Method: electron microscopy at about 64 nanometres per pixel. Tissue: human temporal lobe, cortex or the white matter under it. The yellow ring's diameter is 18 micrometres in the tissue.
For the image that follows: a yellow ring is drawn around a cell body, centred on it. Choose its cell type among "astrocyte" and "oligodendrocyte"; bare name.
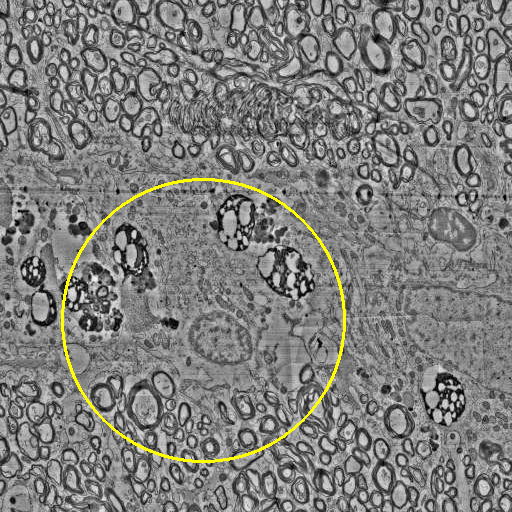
astrocyte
